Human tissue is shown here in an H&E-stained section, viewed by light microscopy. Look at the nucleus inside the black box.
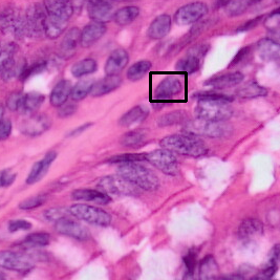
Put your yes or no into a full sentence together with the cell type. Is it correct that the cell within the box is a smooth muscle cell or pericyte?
No, the cell within the box is a ciliated epithelial cell, and it is not a smooth muscle cell or pericyte.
